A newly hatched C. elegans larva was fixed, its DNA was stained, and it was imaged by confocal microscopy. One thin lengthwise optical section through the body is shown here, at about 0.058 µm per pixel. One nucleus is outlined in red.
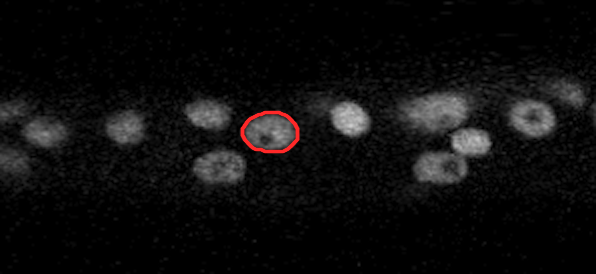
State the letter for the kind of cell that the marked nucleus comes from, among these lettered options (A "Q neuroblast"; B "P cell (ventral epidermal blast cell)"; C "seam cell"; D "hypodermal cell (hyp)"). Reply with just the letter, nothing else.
C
